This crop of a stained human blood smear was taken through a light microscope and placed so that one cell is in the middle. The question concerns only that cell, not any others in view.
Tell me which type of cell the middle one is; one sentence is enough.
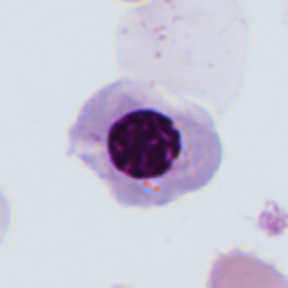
The cell around which this crop is centred is a normoblast.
